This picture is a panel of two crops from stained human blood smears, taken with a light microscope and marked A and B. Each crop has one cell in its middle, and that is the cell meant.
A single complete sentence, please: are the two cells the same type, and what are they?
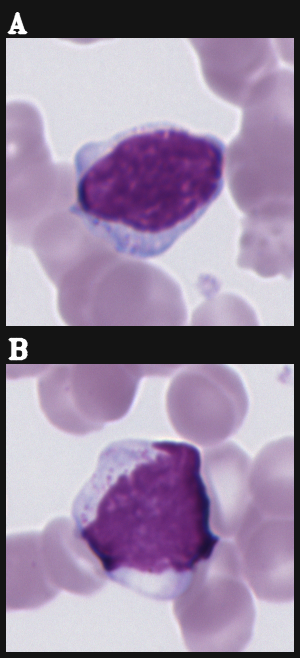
Yes, both crops do show large granular lymphocytes in the middle.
